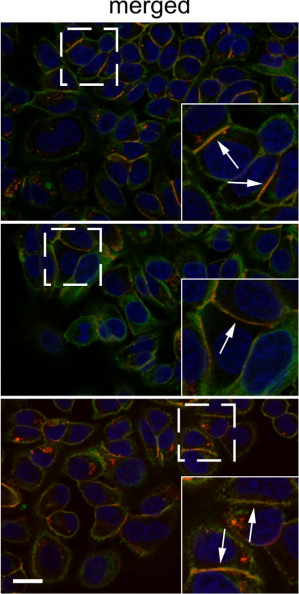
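In all three images, the borders between touching cells are traced by thin red and green lines that overlap where neighbouring cells meet. The cells are rounded to polygonal and sit side by side in small groups, with some gaps of empty background. Small bright red dots are scattered in the cytoplasm of some cells, most visibly in the lowest image. The outlines at cell contacts stay distinct throughout.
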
